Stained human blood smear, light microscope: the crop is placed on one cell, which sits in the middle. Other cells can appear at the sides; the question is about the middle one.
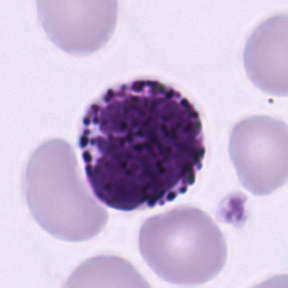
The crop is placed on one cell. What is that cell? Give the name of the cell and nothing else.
basophil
